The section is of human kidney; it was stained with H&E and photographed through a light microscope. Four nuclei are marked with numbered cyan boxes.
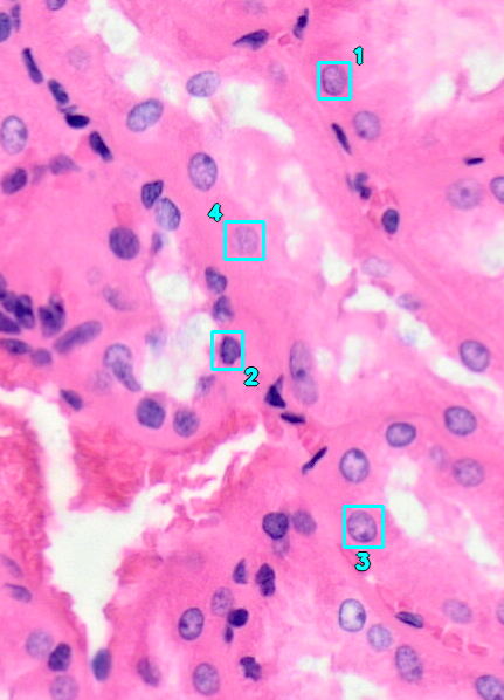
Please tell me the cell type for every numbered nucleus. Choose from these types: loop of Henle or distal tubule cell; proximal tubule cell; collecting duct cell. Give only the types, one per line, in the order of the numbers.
proximal tubule cell
loop of Henle or distal tubule cell
proximal tubule cell
proximal tubule cell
